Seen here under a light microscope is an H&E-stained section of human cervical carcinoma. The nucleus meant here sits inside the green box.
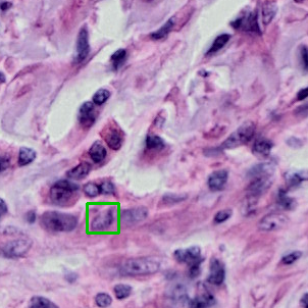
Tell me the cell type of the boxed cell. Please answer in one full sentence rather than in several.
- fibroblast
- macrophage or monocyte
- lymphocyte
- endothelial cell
Labelled by cell type, the boxed cell is an endothelial cell.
